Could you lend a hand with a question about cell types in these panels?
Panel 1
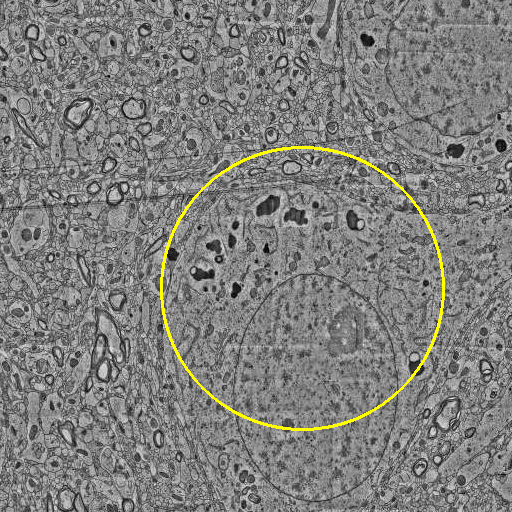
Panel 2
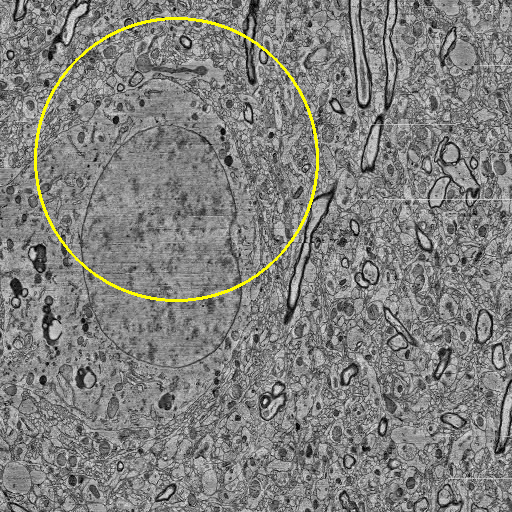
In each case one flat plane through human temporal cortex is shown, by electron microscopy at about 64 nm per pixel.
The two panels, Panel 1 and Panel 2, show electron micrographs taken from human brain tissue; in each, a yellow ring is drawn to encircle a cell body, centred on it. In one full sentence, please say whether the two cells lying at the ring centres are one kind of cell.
Yes, the cells at the ring centres in the two panels are one kind of cell.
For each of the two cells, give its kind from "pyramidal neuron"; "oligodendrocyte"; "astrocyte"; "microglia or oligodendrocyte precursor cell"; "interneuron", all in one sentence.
Each of the two cells is a pyramidal neuron.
